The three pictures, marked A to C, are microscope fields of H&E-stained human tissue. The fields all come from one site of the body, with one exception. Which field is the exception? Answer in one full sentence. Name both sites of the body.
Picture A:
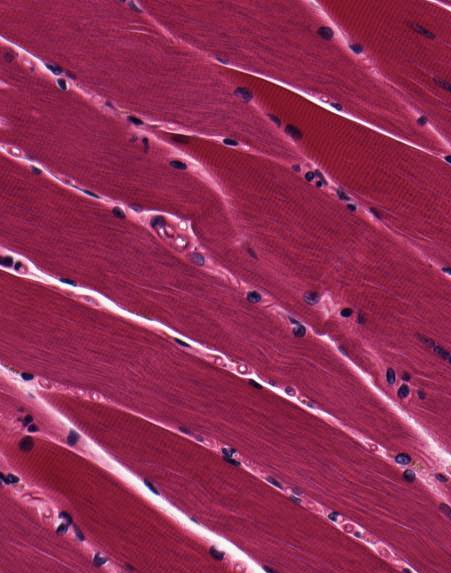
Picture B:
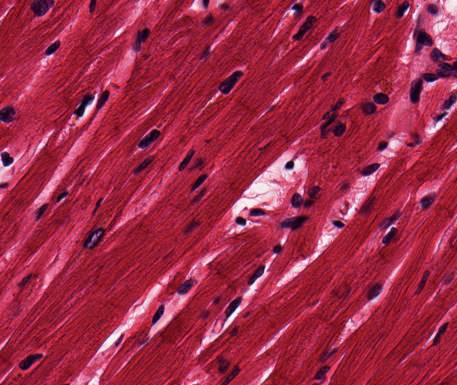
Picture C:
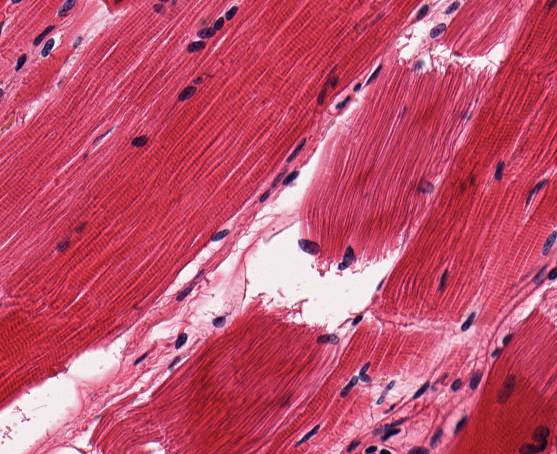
All pictures except B come from skeletal muscle; picture B comes from the left ventricle of the heart.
